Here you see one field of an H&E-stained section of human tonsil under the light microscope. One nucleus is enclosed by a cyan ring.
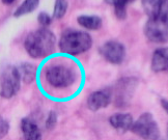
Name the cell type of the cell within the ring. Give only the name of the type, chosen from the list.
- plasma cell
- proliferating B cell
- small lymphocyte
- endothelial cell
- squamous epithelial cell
proliferating B cell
